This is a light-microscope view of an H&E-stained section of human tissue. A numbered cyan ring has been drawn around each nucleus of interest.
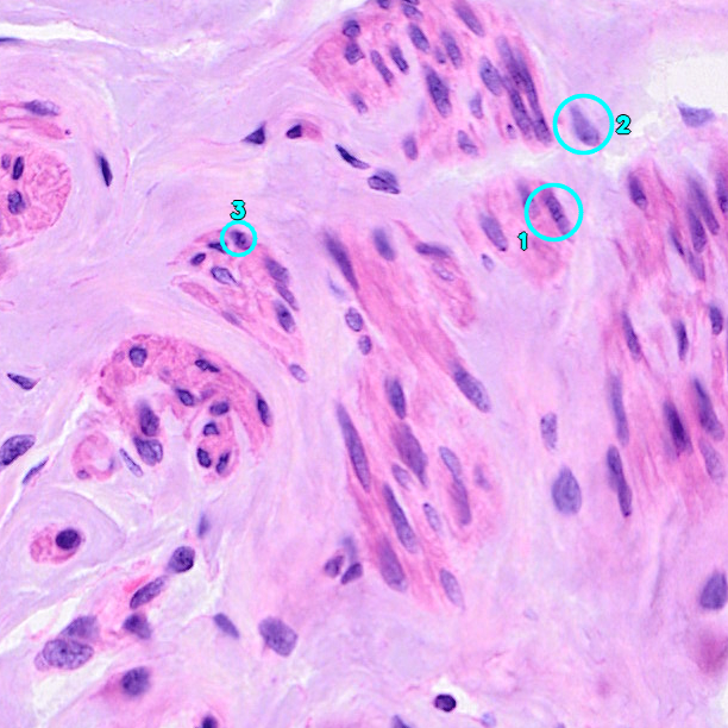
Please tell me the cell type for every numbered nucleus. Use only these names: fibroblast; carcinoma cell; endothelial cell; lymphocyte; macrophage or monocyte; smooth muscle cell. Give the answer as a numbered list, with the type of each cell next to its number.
1. smooth muscle cell
2. fibroblast
3. smooth muscle cell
